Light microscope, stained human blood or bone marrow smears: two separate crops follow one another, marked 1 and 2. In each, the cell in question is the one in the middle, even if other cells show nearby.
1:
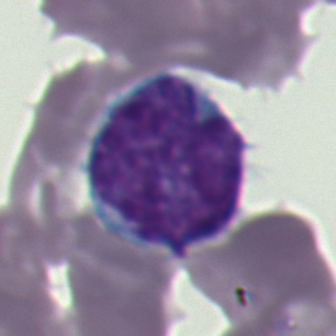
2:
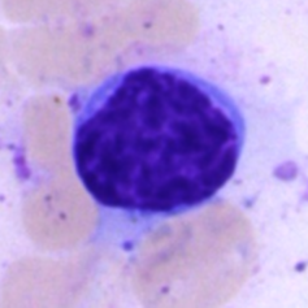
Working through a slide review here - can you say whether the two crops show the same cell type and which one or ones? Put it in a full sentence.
Yes, the pair of crops both show lymphocytes.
